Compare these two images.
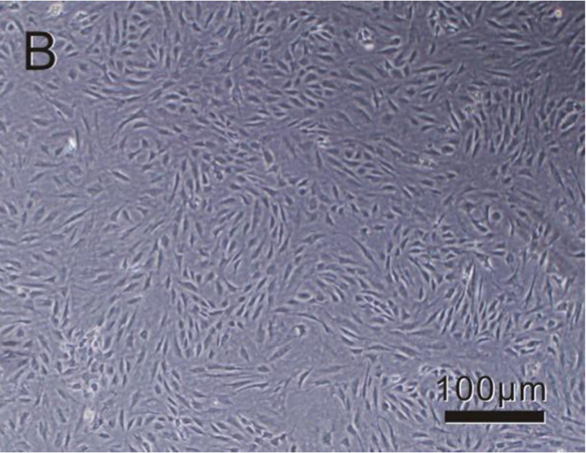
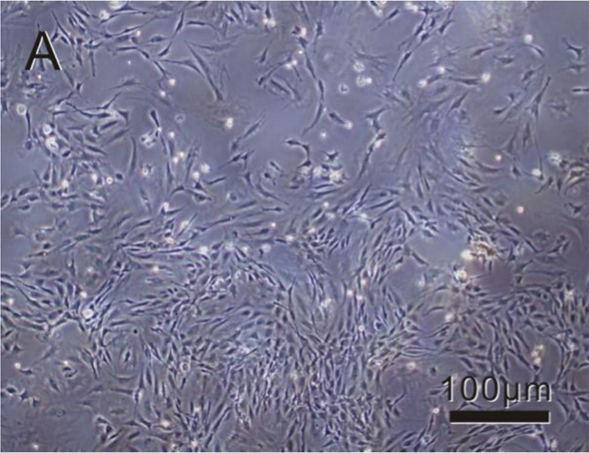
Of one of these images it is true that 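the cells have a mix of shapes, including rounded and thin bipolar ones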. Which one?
The second image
